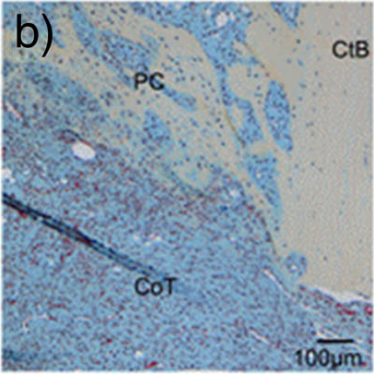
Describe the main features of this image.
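To the right lies compact cortical bone, pale yellowish-beige with small scattered lacunae. Beside it, irregular pale islands of newly formed woven bone are interspersed with densely cellular blue tissue. Below, blue connective tissue with many dark nuclei fills the field, with a dark streak crossing it.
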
